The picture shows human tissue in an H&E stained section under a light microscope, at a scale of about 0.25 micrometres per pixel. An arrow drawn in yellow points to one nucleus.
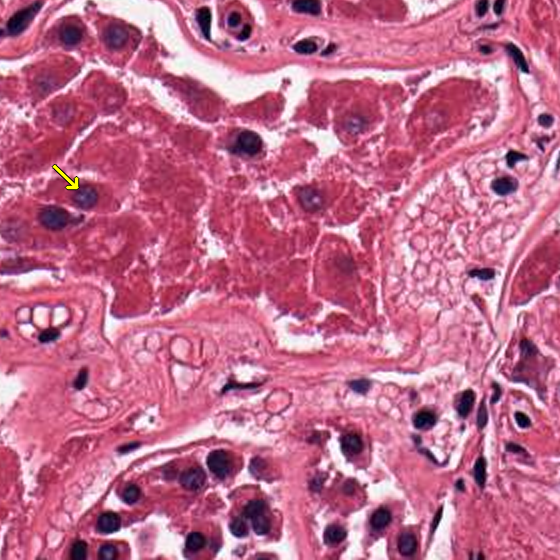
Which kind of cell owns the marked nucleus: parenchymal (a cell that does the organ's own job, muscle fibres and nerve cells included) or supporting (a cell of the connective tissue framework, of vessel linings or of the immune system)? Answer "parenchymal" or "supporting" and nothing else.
parenchymal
